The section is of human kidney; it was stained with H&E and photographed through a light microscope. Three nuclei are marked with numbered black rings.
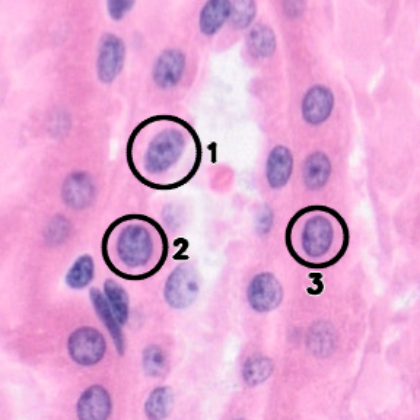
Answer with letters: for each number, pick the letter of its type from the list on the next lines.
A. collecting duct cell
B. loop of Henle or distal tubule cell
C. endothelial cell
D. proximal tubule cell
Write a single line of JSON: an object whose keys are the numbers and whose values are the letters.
{"1": "B", "2": "B", "3": "D"}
